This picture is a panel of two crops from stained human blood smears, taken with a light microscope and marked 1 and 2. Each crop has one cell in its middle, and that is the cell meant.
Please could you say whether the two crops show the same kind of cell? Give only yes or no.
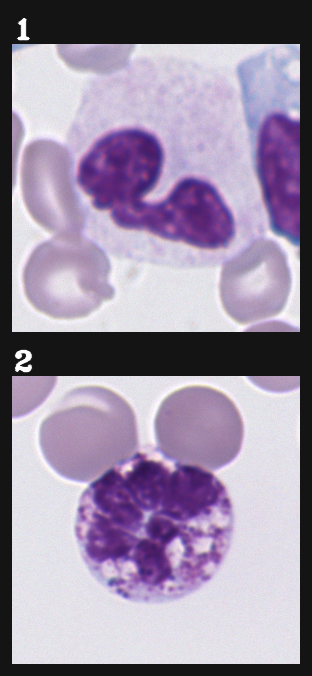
no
